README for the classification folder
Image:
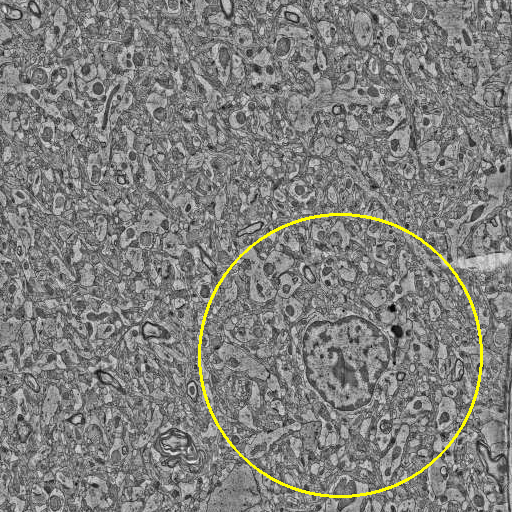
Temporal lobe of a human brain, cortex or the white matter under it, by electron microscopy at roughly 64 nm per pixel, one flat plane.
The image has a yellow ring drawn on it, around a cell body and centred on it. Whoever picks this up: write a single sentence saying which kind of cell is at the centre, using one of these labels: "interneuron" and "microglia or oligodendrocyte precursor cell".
This cell body is that of a microglial cell or oligodendrocyte precursor cell.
